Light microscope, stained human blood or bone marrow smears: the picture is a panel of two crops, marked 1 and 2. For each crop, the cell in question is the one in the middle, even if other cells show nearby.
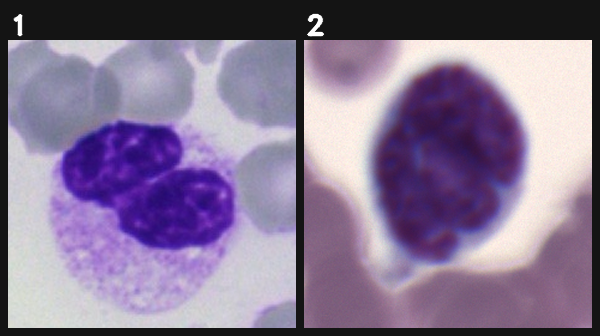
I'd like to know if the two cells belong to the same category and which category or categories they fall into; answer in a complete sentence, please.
No, a segmented neutrophil is in crop 1, while a monocyte is in crop 2.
